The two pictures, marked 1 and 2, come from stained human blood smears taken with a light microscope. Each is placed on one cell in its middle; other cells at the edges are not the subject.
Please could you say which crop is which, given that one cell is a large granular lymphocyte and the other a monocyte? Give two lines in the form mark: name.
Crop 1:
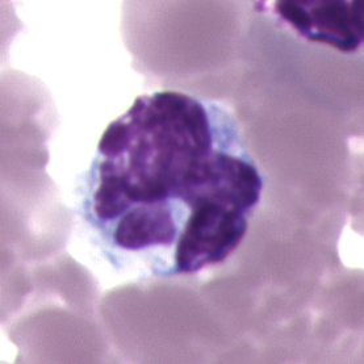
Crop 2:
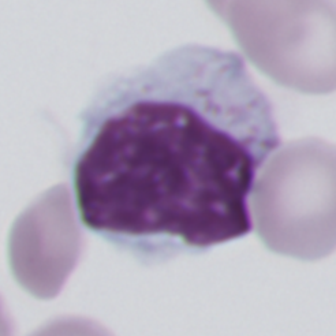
1: monocyte
2: large granular lymphocyte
